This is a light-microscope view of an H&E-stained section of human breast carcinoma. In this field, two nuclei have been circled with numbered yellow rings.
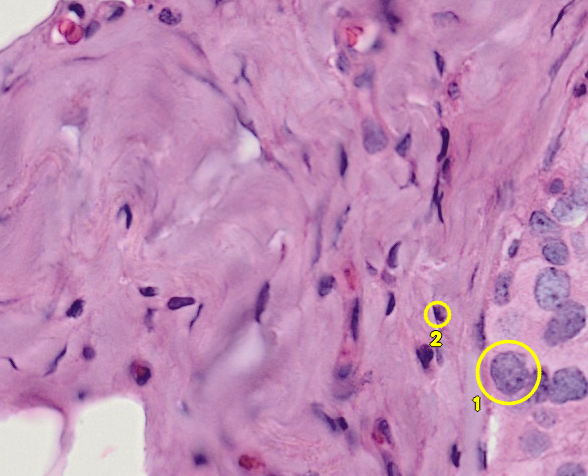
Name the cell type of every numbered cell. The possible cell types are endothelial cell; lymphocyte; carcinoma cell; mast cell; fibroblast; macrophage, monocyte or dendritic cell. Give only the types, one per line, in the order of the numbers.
carcinoma cell
fibroblast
